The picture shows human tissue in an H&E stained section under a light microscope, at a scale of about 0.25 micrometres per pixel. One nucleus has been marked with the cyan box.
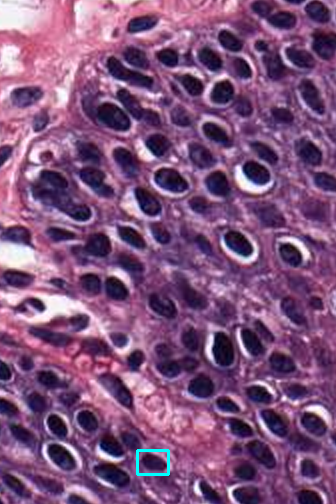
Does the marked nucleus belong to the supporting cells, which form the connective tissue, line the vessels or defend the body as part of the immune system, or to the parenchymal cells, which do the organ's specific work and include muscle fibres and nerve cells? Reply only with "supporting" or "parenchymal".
parenchymal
